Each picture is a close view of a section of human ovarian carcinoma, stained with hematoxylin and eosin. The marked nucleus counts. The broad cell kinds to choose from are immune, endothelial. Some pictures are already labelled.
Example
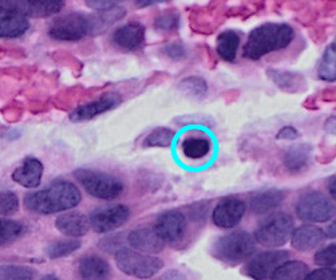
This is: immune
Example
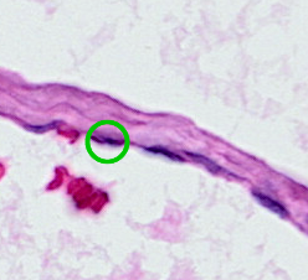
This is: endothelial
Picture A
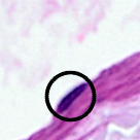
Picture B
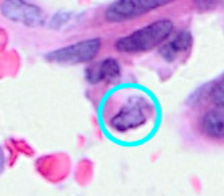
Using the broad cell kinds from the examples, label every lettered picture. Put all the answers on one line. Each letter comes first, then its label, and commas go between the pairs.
A endothelial, B immune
